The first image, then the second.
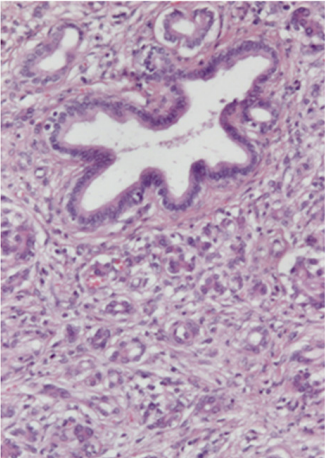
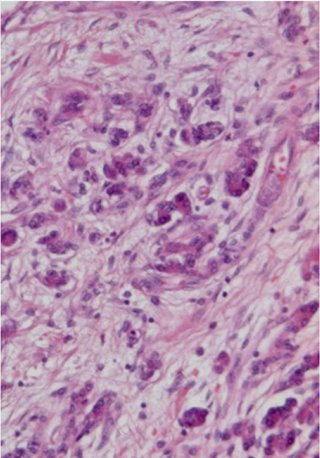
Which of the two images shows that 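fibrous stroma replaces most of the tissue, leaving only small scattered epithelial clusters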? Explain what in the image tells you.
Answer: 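The second image. Second image: wide areas of pale fibrous stroma with spindle cells separate small epithelial clusters.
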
